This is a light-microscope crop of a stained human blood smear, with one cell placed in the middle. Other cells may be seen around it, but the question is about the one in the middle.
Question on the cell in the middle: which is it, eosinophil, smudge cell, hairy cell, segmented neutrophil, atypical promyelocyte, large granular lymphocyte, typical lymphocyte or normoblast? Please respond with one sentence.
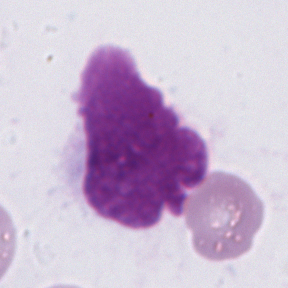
The centrally placed cell is classified as a smudge cell.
